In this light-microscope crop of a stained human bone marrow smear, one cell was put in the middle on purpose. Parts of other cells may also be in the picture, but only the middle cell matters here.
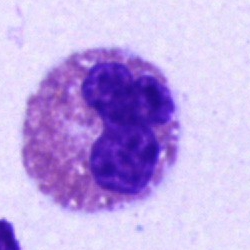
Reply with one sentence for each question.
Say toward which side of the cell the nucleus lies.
The nucleus is pushed toward the right of the cell.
